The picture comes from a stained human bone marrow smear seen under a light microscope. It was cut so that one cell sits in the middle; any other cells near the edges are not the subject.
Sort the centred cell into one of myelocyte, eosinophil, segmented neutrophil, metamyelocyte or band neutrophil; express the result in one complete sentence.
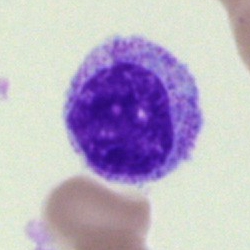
Occupying the centre of the crop is a myelocyte.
